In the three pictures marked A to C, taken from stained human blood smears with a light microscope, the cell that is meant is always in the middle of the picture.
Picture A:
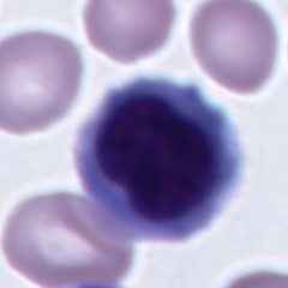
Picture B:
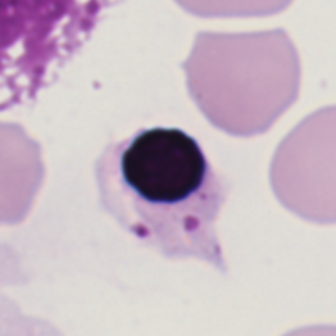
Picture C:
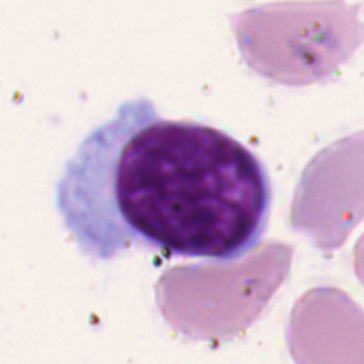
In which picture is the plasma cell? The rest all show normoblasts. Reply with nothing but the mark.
C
